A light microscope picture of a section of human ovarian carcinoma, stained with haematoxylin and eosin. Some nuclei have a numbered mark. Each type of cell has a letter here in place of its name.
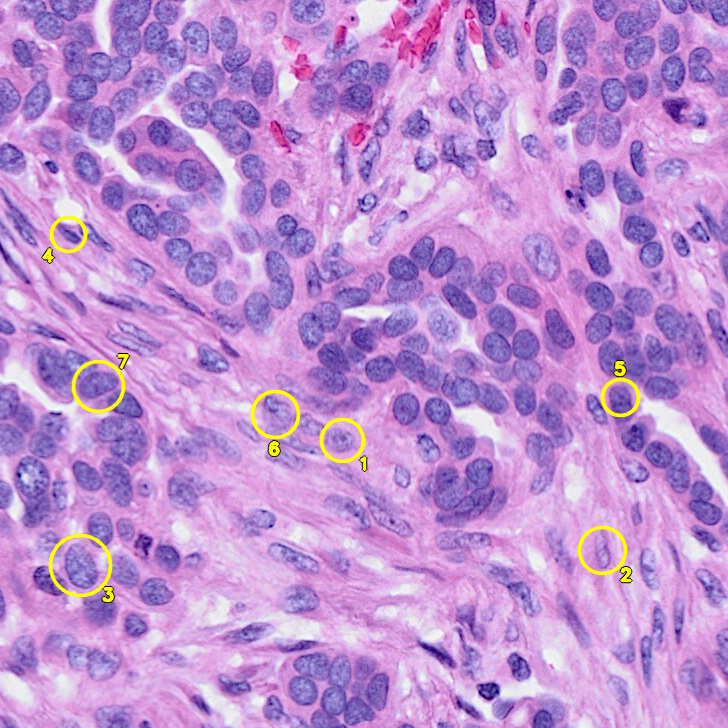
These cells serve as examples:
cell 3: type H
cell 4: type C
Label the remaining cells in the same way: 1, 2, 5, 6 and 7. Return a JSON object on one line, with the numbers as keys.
{"1": "type C", "2": "type C", "5": "type H", "6": "type C", "7": "type H"}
